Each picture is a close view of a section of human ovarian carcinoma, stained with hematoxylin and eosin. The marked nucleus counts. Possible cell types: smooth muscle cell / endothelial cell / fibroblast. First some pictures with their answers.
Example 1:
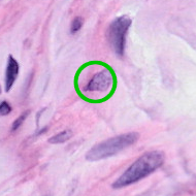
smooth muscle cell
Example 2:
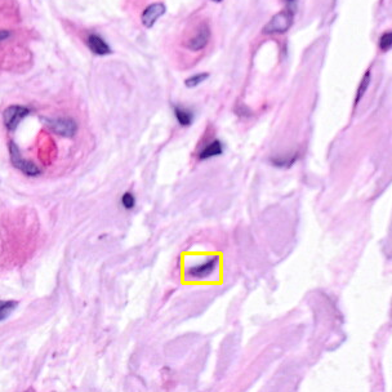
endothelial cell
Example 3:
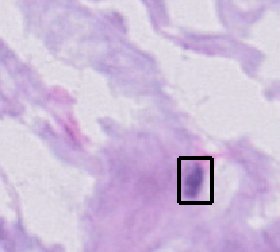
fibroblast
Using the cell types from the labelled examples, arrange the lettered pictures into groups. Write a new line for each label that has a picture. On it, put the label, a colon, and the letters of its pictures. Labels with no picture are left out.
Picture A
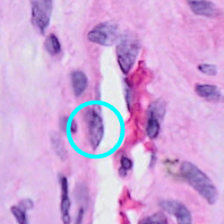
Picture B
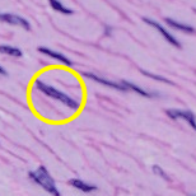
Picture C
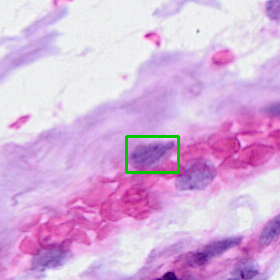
endothelial cell: A, C
fibroblast: B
